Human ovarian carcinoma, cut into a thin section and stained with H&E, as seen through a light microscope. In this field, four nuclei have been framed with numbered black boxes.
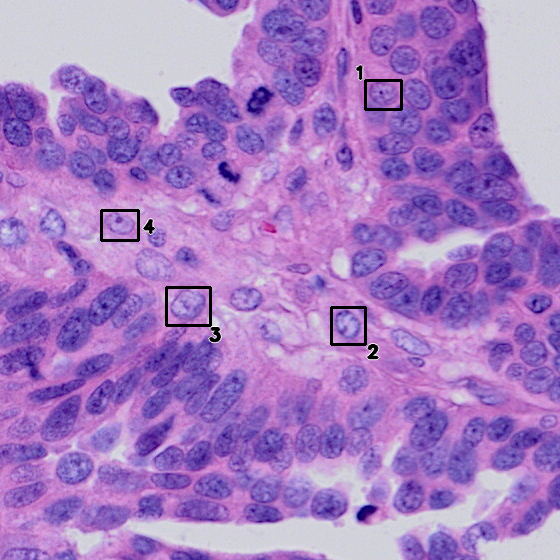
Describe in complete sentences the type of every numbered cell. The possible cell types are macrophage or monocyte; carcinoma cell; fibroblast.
Cell 1 is a carcinoma cell. Cells 2, 3 and 4 are fibroblasts.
